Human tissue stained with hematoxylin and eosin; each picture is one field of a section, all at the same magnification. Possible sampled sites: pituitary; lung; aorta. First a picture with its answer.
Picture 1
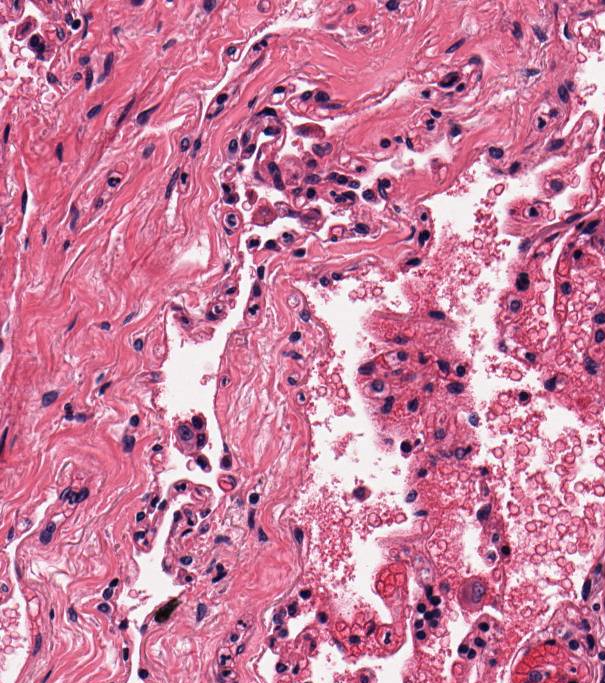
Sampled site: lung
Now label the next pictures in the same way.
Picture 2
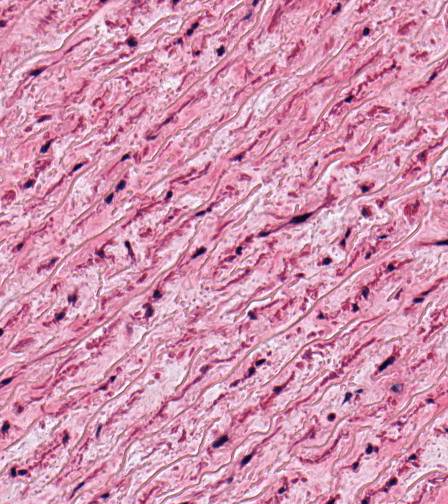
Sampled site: aorta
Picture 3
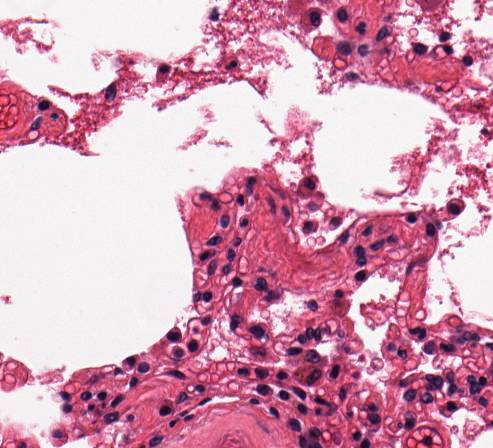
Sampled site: lung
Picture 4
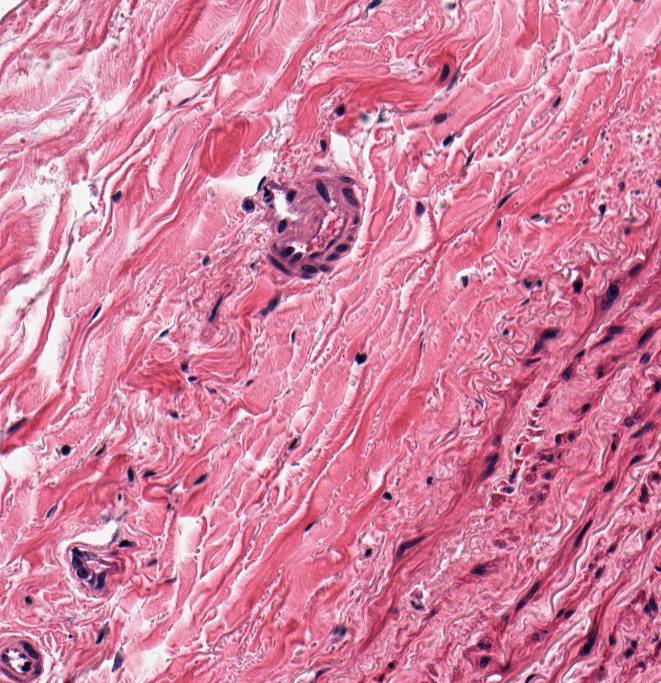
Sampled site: aorta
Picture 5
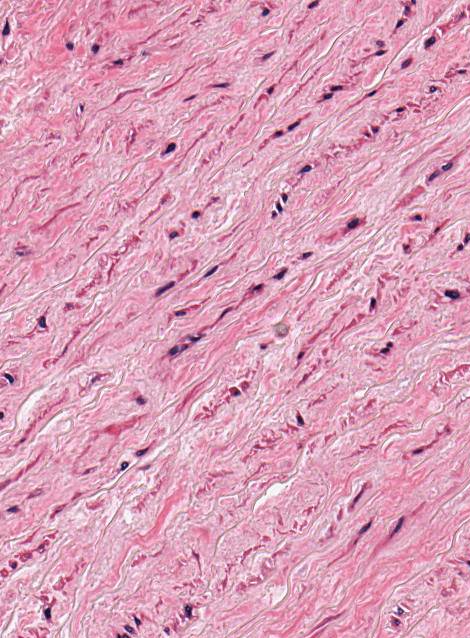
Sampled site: aorta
